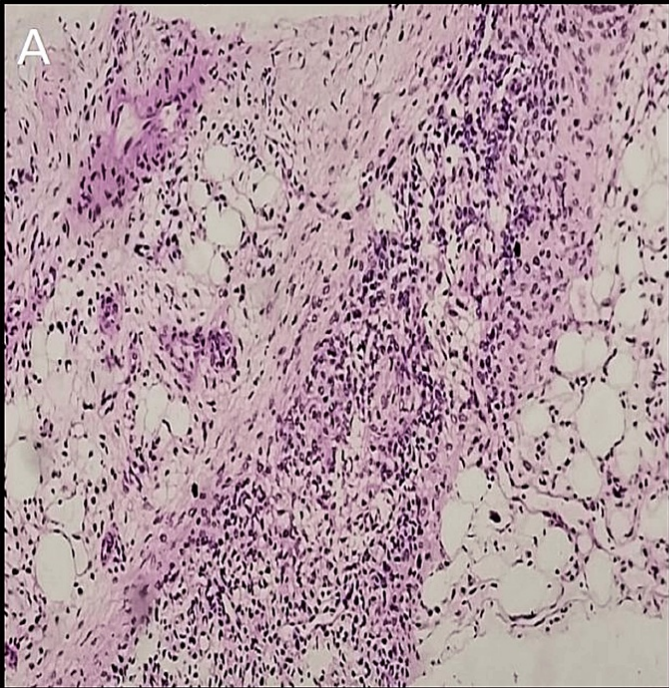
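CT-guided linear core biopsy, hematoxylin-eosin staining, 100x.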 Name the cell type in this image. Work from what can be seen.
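Adipocytes. Large round empty clear spaces with thin pink borders. Clear spaces clustered at the right and left edges among the cellular tissue.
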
